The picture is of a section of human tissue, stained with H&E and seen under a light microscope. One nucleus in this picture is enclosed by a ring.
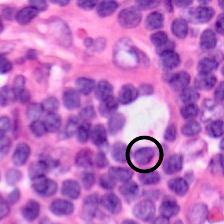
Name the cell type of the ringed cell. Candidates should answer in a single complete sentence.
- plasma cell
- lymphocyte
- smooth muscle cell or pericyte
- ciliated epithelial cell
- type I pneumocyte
The cell type represented by the ringed cell is that of a lymphocyte.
